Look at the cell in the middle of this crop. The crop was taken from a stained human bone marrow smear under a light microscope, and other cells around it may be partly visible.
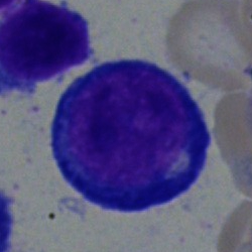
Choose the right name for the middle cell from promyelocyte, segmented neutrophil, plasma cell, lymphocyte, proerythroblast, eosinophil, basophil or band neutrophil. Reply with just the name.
proerythroblast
